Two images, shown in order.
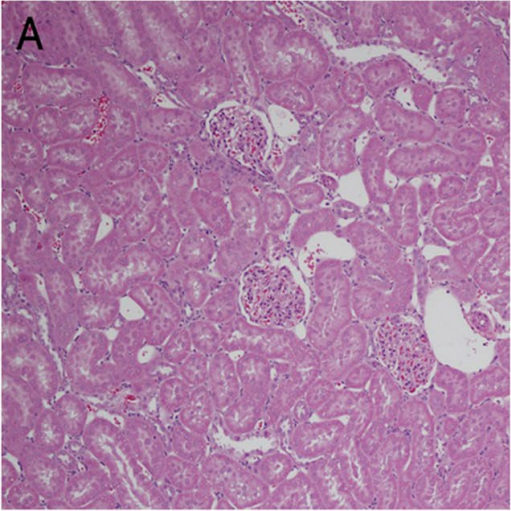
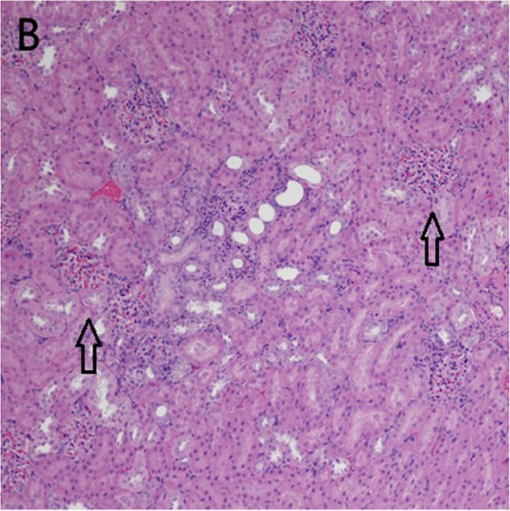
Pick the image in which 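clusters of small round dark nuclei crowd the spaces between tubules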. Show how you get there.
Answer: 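Second image: several dense foci of small dark nuclei lie between the tubules. First image: tubules lie close together with thin interstitium and no dense clusters of nuclei.
Answer: the second image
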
